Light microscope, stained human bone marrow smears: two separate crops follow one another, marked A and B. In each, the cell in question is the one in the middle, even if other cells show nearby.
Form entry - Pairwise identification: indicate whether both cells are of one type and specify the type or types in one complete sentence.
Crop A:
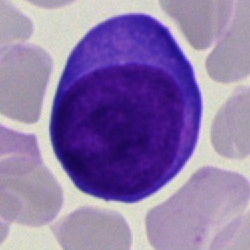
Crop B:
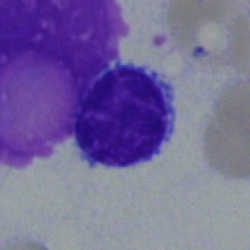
No, crop A carries a blast and crop B carries a lymphocyte.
